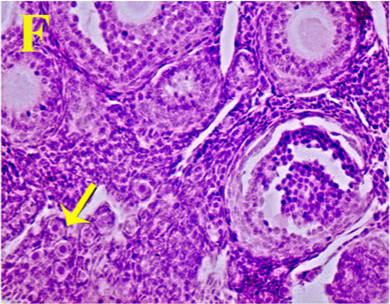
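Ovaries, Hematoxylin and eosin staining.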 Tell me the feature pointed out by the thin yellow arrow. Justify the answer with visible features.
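The arrow points to small round structures in the stroma between larger follicles. These are far smaller than the multilayered follicles around them.
Conclusion: primordial follicle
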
